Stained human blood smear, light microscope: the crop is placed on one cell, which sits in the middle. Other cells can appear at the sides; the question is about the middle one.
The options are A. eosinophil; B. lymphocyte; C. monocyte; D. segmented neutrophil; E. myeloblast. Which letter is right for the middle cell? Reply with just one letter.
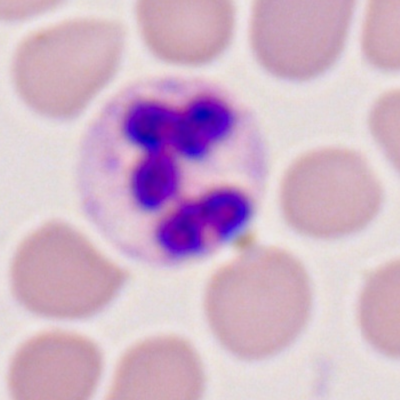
D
